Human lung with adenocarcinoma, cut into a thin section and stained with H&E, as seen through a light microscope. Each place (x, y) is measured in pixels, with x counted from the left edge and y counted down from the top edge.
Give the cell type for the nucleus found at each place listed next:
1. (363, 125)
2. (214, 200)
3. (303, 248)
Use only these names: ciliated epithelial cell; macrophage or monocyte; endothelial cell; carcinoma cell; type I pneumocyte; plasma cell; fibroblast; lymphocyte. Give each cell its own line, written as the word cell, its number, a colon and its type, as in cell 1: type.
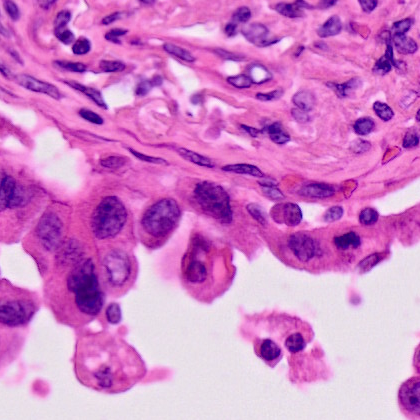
cell 1: lymphocyte
cell 2: carcinoma cell
cell 3: carcinoma cell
